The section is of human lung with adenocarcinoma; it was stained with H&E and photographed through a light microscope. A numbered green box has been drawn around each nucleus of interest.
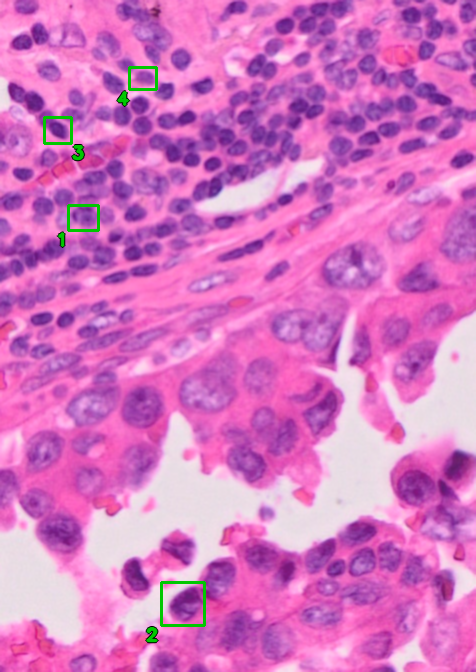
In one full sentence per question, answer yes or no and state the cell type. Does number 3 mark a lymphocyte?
Yes, the marked cell with number 3 is a lymphocyte.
